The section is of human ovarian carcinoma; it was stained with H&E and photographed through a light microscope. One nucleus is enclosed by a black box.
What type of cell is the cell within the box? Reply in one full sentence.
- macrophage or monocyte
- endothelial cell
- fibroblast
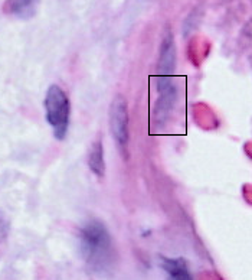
The cell type of the cell within the box is that of an endothelial cell.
